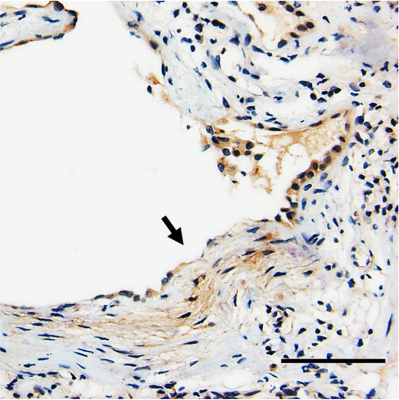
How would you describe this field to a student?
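At the margin of a large airspace a mound of elongated spindle cells lies in a pale bluish matrix, a fibroblastic focus. The spindle cells and their matrix are aligned parallel to the surface and show a faint to moderate brown stain. A layer of lining cells with dark nuclei covers the mound and continues along the airspace edge, where some cytoplasm is brown. The adjacent interstitium is dense and cellular, with many small dark nuclei. Overall the brown staining here is weaker and patchier than a strong diffuse stain would be.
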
